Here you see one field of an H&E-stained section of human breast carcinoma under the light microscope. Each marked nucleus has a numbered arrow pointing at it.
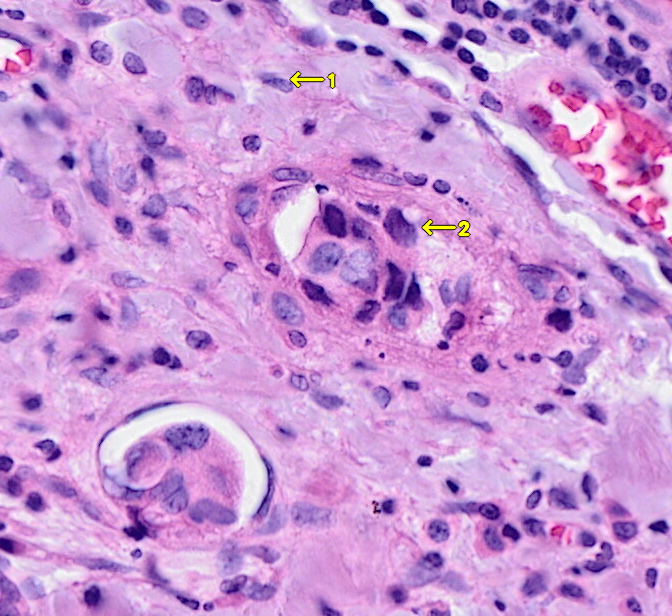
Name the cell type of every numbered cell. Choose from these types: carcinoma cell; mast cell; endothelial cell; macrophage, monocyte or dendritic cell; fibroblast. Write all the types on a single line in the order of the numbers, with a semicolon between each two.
fibroblast; carcinoma cell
